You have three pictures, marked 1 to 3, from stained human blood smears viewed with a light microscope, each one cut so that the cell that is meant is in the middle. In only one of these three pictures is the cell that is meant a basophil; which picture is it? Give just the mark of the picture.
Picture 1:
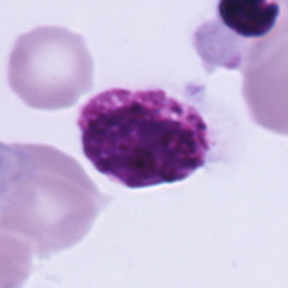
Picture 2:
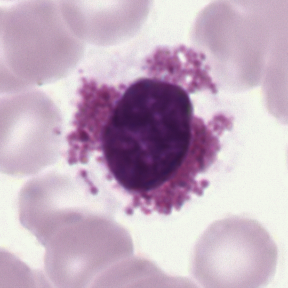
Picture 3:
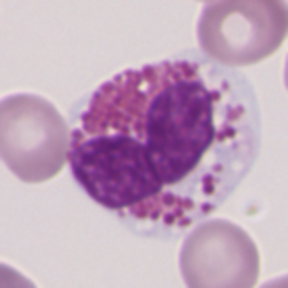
1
